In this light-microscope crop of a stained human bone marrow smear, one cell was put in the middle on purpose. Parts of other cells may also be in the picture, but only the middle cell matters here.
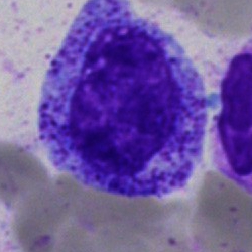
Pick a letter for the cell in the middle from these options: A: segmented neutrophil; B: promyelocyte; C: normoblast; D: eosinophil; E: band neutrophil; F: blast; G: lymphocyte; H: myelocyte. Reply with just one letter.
H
